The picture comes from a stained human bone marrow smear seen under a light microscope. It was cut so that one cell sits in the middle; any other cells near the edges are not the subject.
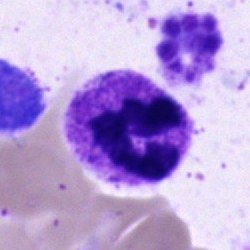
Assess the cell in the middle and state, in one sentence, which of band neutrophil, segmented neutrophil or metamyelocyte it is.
The crop shows a segmented neutrophil in its centre.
